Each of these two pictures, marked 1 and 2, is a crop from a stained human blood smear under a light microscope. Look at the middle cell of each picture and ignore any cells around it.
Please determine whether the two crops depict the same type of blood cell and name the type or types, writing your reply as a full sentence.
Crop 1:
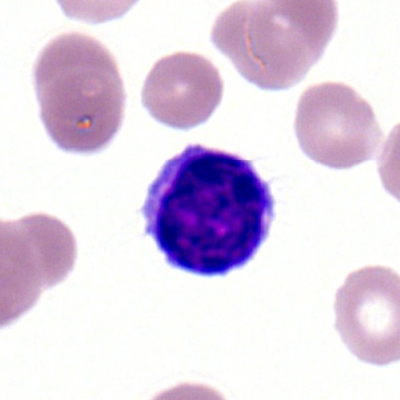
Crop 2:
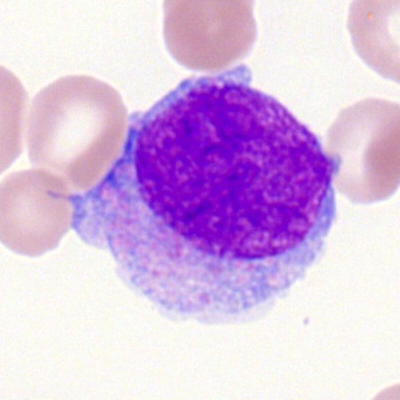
No, it is a lymphocyte that crop 1 shows, and a myeloblast that crop 2 shows.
